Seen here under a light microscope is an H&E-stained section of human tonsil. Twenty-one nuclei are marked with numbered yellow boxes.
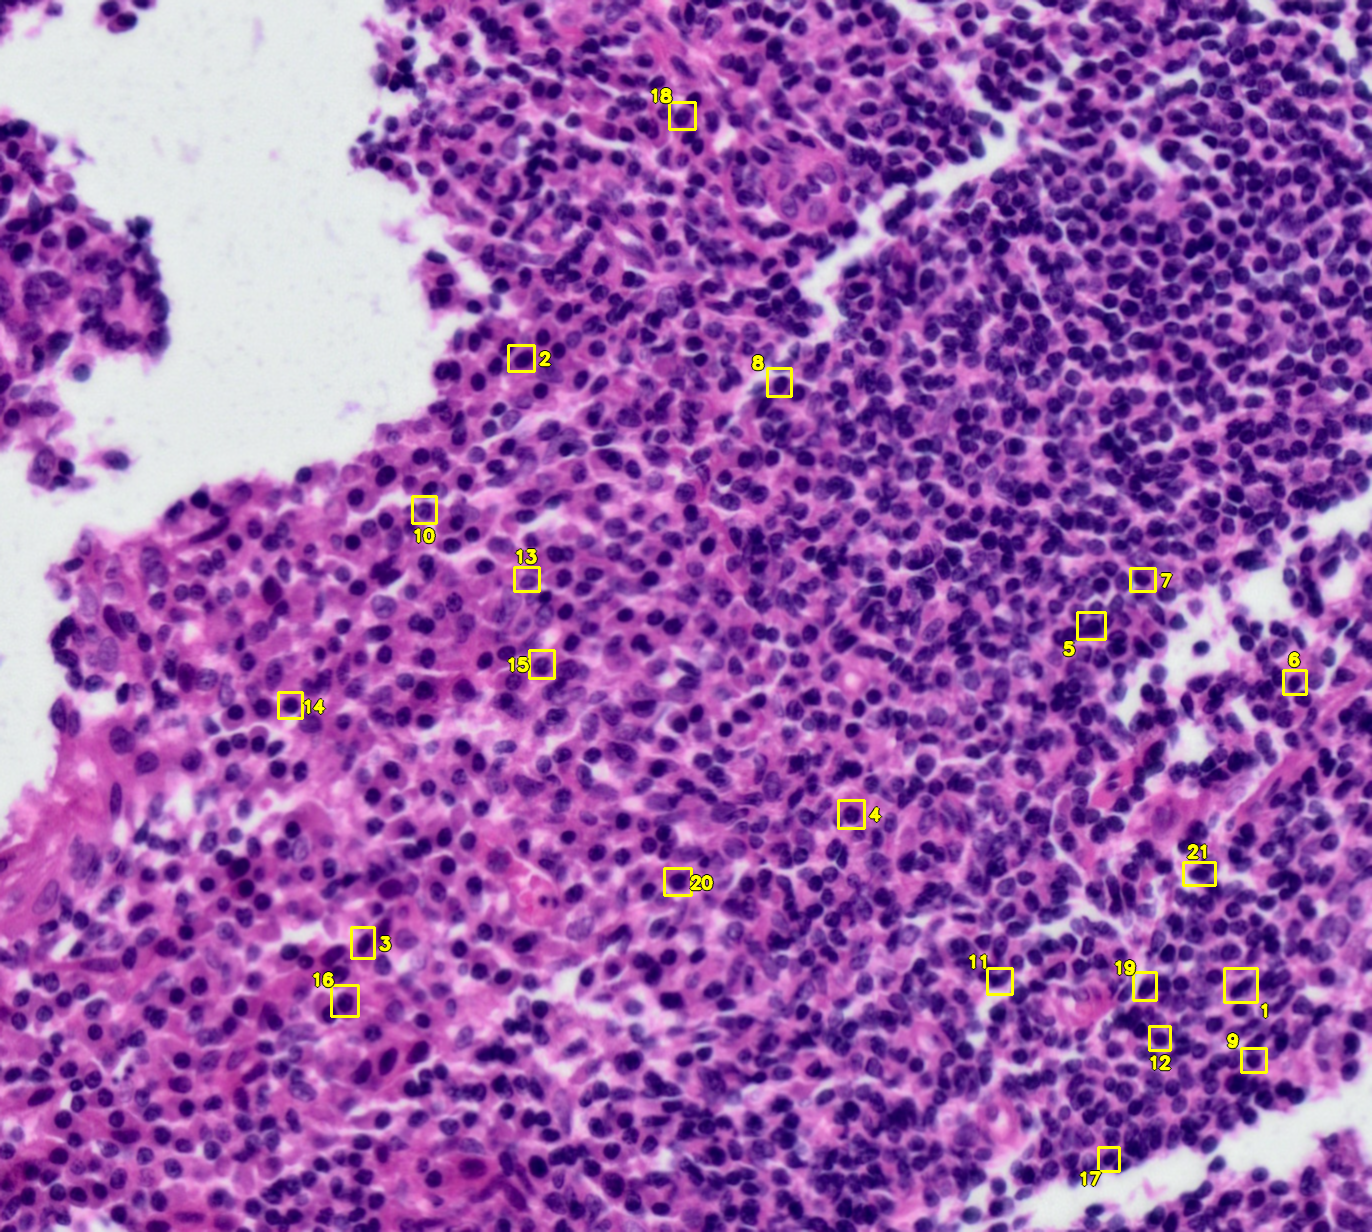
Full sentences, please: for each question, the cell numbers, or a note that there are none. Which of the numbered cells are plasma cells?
The cells marked 2, 3, 4, 10, 13, 14, 15, 16, 18 and 20 in the section are plasma cells.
